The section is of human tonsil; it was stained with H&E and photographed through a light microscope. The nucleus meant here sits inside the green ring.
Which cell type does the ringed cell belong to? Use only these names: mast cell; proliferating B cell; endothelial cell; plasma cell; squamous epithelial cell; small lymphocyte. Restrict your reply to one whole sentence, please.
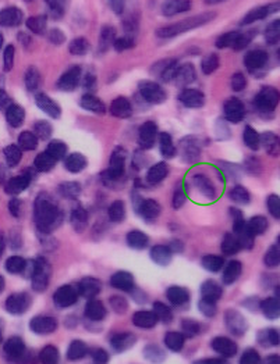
For cell typing purposes, the ringed cell is an endothelial cell.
